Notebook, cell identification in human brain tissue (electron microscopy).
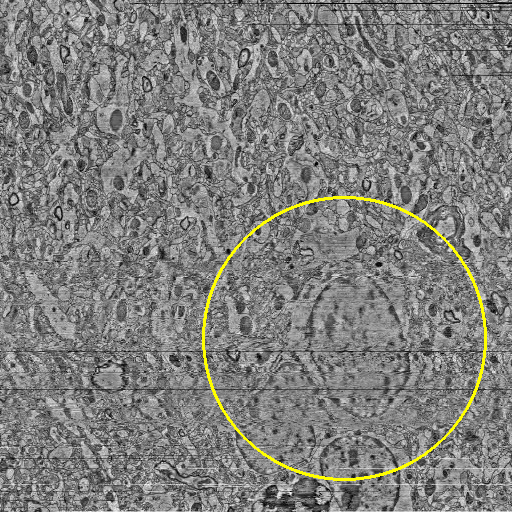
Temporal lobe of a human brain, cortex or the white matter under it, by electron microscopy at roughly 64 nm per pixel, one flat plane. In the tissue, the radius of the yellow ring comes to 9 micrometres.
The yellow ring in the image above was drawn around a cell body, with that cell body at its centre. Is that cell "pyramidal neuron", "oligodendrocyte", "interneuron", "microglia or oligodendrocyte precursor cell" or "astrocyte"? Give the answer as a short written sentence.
The cell in the ring is an astrocyte.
